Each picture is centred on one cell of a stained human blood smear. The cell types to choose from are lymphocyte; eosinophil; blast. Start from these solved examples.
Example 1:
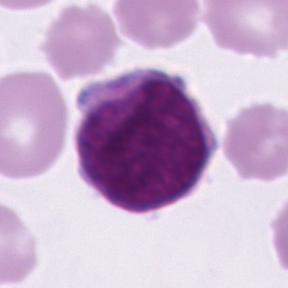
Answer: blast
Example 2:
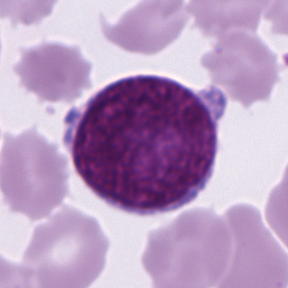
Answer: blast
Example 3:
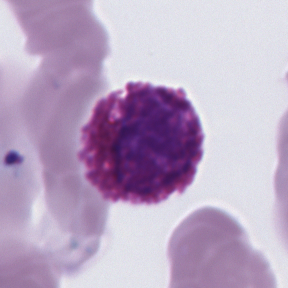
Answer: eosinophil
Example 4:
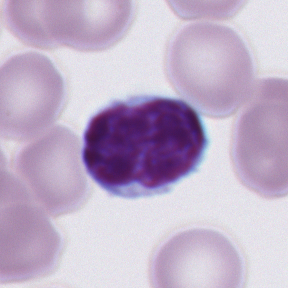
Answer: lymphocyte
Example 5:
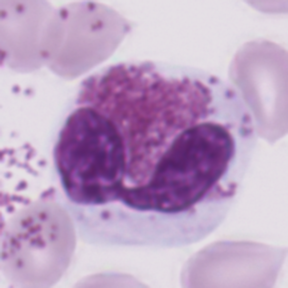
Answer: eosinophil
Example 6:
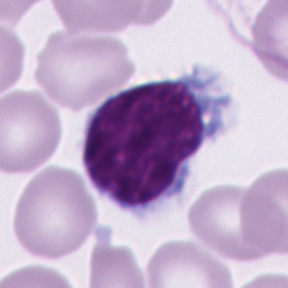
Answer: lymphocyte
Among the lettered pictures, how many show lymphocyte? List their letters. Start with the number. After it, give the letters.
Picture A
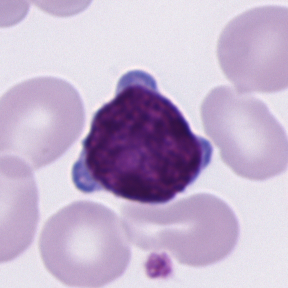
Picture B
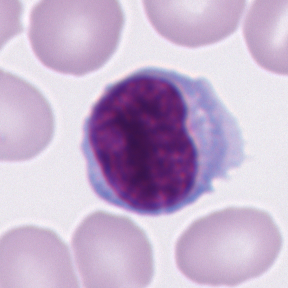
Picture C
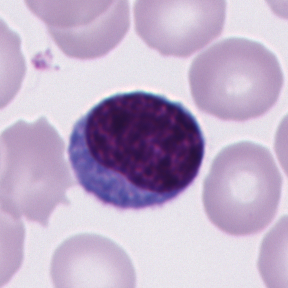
Count: 3 (A, B, C)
